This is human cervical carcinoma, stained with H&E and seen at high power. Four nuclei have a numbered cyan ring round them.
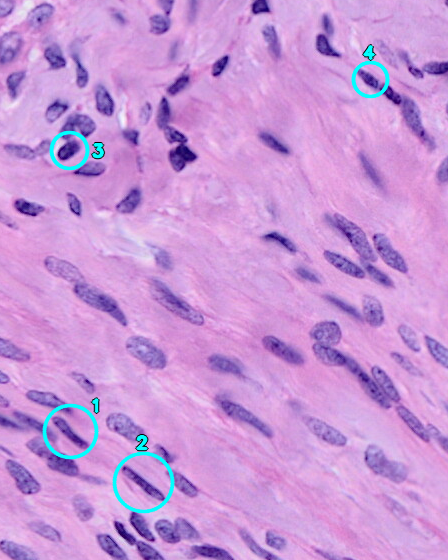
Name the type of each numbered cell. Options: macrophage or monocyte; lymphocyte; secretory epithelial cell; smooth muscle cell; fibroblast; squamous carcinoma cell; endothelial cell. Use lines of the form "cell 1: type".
cell 1: fibroblast
cell 2: fibroblast
cell 3: lymphocyte
cell 4: fibroblast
